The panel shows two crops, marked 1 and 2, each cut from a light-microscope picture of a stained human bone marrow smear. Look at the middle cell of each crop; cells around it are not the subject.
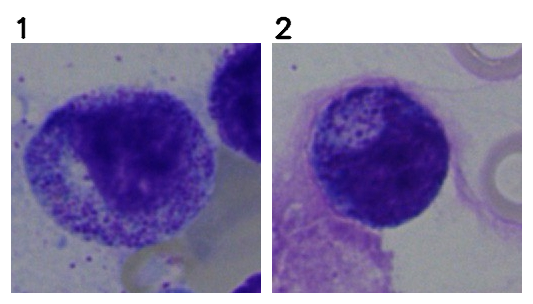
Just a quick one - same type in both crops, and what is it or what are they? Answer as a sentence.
No, the cell that crop 1 shows is a myelocyte, and the one crop 2 shows is a promyelocyte.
